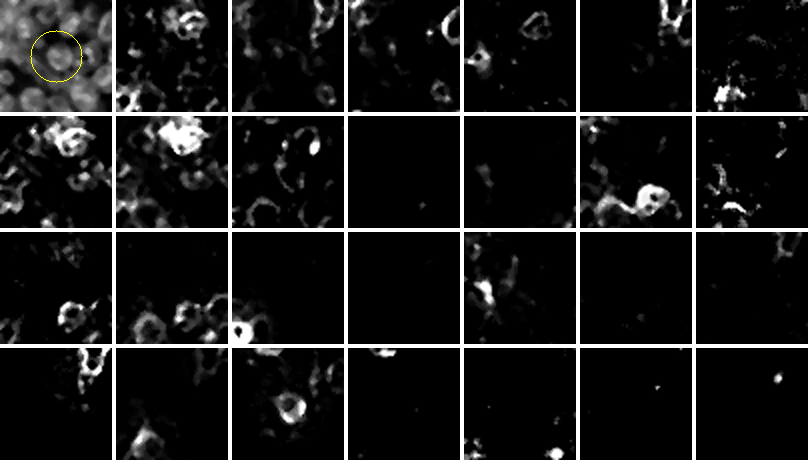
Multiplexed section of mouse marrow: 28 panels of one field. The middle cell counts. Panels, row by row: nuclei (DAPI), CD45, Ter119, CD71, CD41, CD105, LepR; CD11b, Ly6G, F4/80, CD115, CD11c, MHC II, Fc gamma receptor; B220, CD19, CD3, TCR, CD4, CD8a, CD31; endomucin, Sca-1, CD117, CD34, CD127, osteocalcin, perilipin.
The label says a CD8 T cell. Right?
Wrong: this is a megakaryocyte-erythroid progenitor.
